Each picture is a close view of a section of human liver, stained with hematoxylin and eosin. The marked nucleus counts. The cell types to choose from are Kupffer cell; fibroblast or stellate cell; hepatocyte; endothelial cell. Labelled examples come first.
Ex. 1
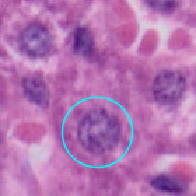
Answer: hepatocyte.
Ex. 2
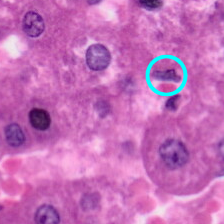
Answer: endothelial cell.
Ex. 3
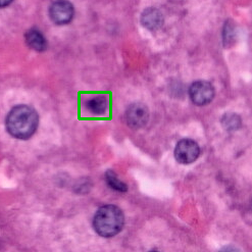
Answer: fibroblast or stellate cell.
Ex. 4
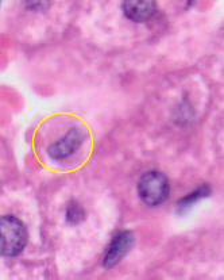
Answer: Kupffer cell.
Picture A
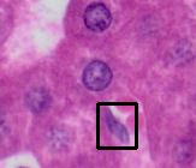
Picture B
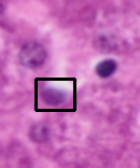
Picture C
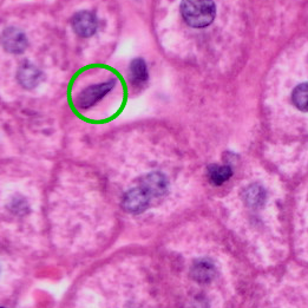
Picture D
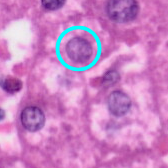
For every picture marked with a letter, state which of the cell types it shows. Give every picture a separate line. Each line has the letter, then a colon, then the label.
A: endothelial cell.
B: endothelial cell.
C: Kupffer cell.
D: hepatocyte.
